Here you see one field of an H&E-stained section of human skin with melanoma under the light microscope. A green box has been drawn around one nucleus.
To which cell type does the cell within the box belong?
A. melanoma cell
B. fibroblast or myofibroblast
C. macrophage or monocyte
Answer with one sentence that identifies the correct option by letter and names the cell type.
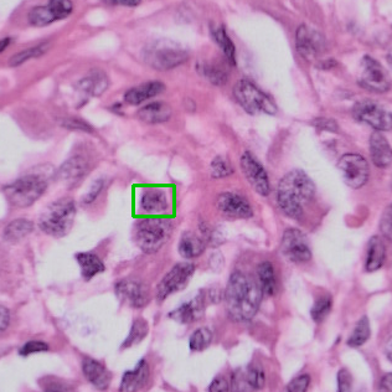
Option A matches the cell within the box, which is a melanoma cell.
